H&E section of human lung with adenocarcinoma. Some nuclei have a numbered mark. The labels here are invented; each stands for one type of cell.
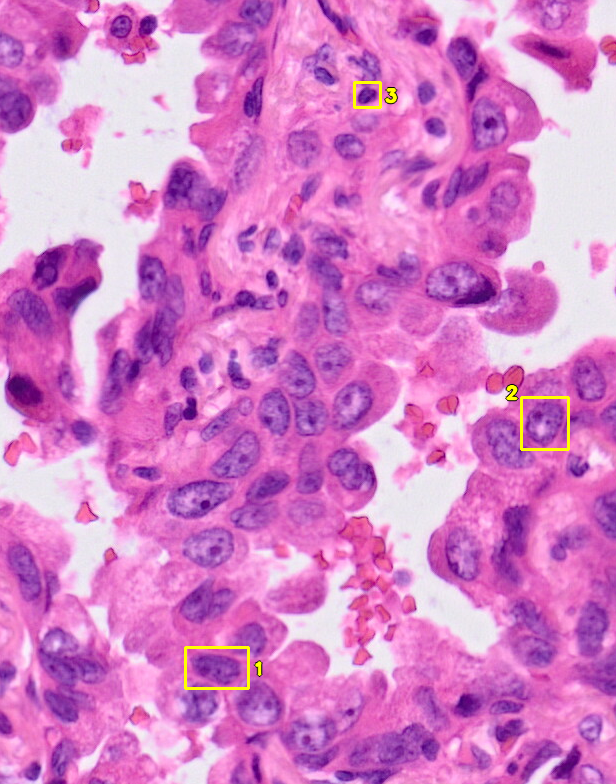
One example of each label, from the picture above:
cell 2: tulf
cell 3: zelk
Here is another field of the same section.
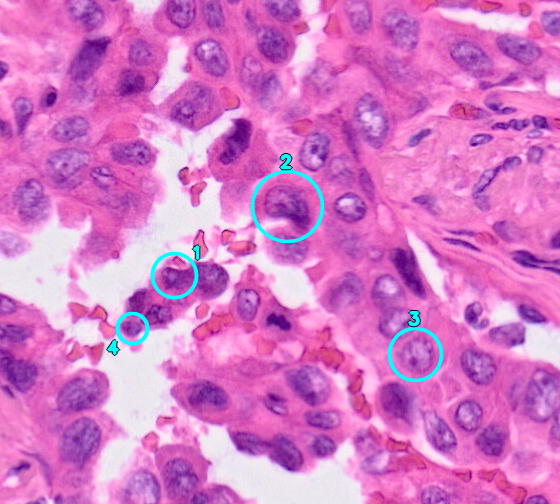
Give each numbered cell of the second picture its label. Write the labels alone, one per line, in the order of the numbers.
tulf
tulf
tulf
zelk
